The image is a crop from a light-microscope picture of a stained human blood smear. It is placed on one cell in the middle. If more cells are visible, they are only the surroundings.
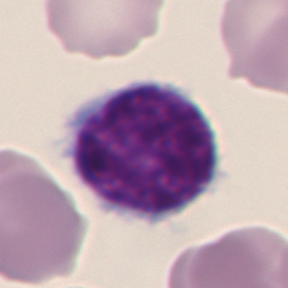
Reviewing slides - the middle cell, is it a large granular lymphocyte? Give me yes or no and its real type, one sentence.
No, what sits in the centre of the crop is a hairy cell rather than a large granular lymphocyte.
